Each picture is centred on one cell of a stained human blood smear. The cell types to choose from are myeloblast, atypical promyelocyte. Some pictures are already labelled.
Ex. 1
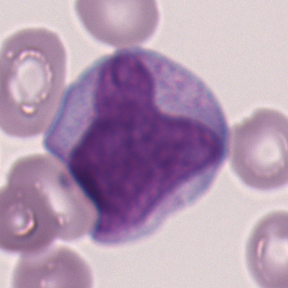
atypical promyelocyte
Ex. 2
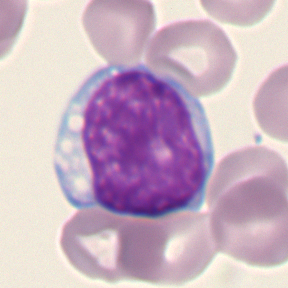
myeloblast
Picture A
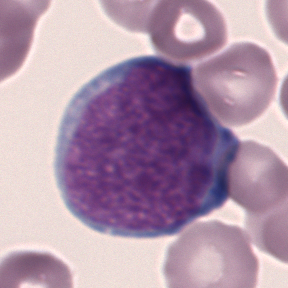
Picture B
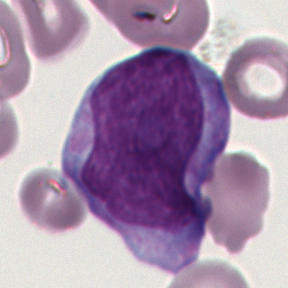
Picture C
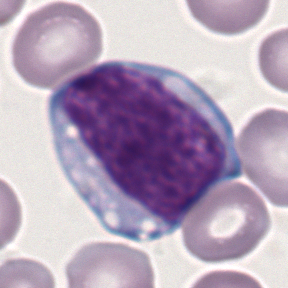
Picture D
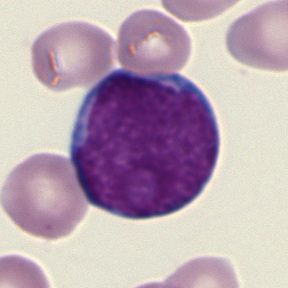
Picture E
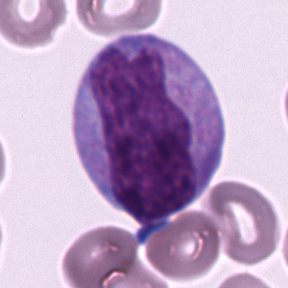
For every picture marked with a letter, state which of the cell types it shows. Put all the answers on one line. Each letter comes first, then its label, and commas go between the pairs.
A myeloblast, B atypical promyelocyte, C myeloblast, D myeloblast, E atypical promyelocyte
